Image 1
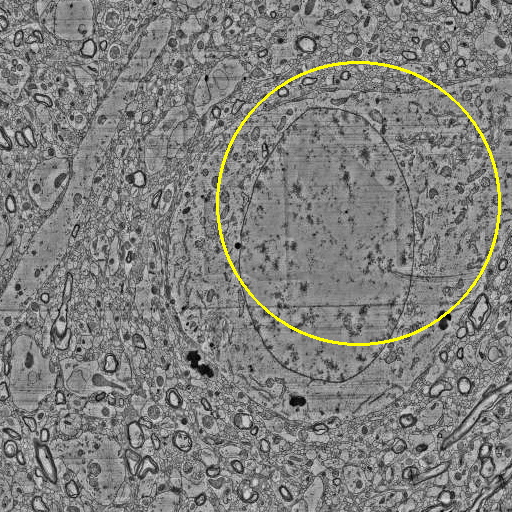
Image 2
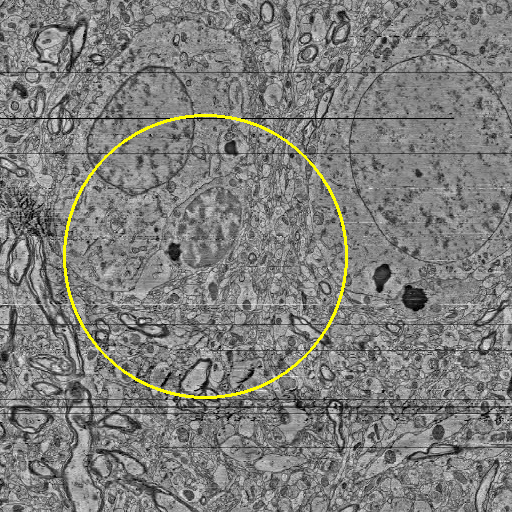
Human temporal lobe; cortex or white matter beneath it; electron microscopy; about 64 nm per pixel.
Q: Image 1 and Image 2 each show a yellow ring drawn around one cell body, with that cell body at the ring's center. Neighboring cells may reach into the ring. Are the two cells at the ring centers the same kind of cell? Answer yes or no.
no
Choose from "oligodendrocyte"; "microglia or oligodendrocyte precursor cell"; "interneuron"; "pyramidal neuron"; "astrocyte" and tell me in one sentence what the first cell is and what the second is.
What the first ring is centred on is a pyramidal neuron; what the second ring is centred on is an oligodendrocyte.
